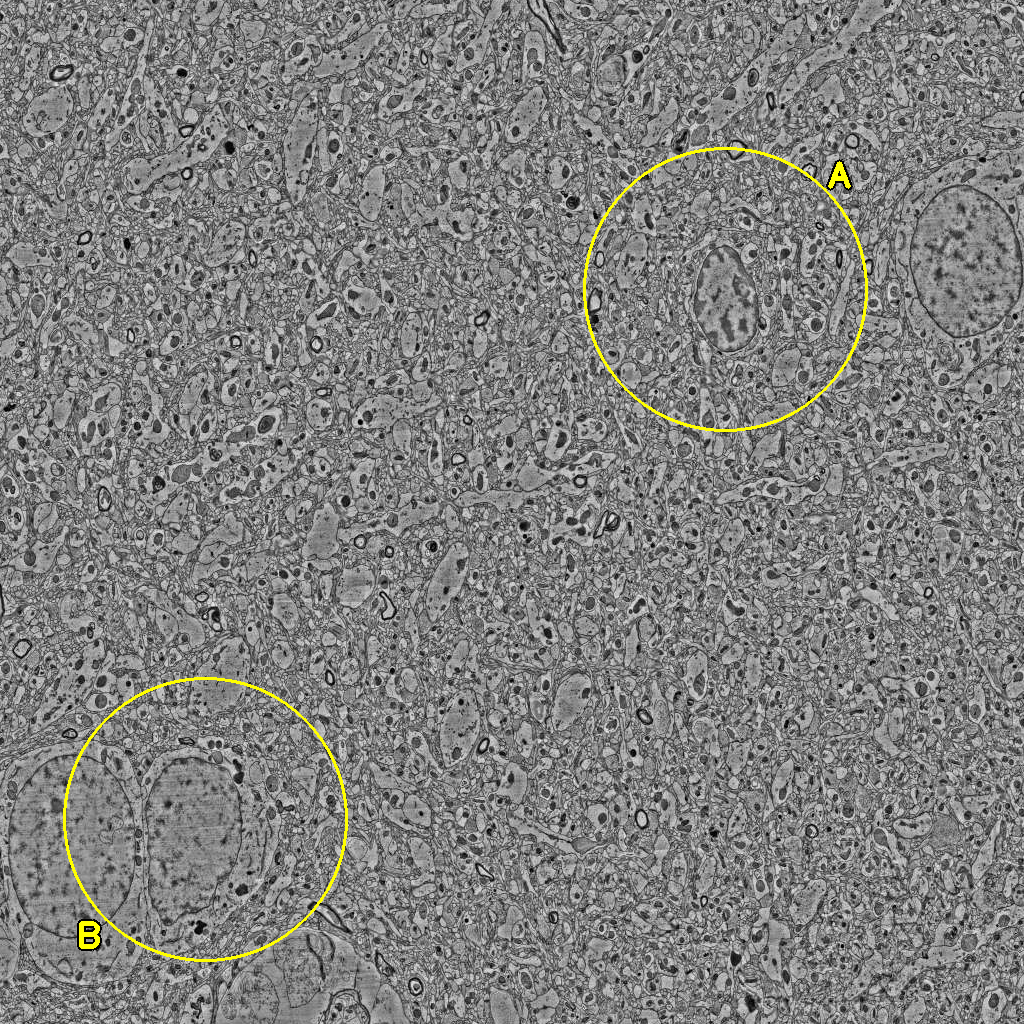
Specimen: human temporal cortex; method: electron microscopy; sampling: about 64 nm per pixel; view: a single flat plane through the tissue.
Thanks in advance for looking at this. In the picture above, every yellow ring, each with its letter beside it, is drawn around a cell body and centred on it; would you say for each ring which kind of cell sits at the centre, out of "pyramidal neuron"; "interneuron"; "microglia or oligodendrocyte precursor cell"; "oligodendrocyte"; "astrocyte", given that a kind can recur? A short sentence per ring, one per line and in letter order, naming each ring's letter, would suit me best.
The cell body in ring A belongs to a microglial cell or oligodendrocyte precursor cell.
The cell body in ring B belongs to an interneuron.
